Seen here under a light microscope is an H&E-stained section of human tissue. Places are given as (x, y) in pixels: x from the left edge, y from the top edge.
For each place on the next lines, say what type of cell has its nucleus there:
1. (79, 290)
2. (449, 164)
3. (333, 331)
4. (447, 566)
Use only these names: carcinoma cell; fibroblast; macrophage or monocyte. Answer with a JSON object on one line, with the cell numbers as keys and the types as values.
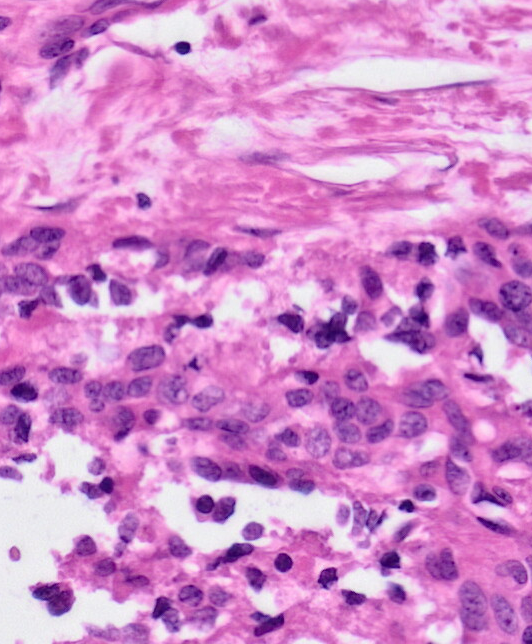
{"1": "carcinoma cell", "2": "fibroblast", "3": "carcinoma cell", "4": "carcinoma cell"}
